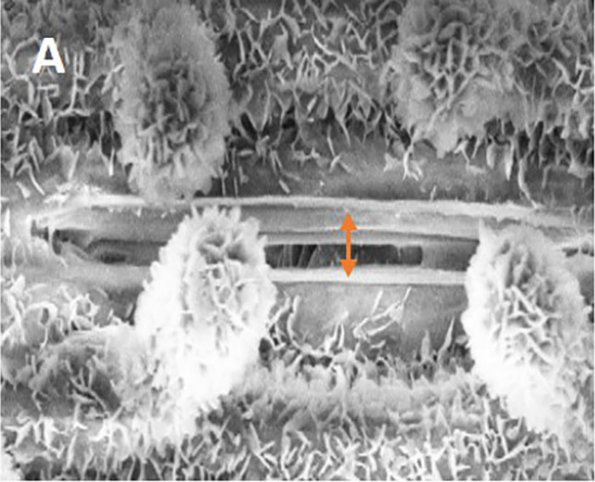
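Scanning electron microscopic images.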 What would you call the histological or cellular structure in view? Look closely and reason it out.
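A long horizontal slit bounded by two parallel raised rims lies across the middle. The surrounding surface is covered in small platelet-like projections and rounded knobs. On this evidence: stomata.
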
